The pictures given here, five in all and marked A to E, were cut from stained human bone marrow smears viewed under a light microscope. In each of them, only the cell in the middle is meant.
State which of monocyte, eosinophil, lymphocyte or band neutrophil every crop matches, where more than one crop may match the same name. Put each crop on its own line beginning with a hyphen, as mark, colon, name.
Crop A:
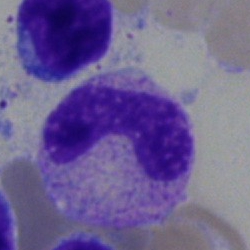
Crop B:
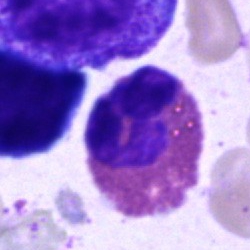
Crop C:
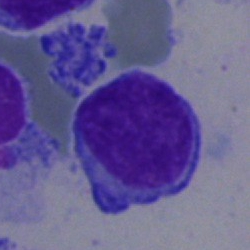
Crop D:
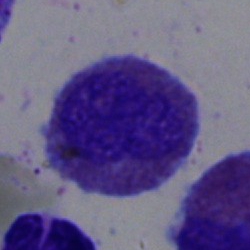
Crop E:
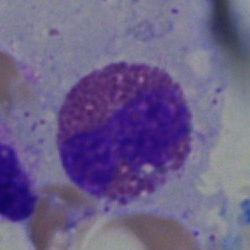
- A: band neutrophil
- B: eosinophil
- C: lymphocyte
- D: eosinophil
- E: eosinophil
